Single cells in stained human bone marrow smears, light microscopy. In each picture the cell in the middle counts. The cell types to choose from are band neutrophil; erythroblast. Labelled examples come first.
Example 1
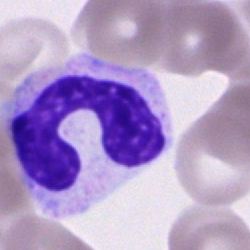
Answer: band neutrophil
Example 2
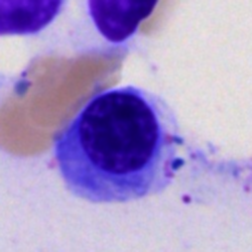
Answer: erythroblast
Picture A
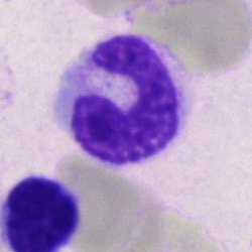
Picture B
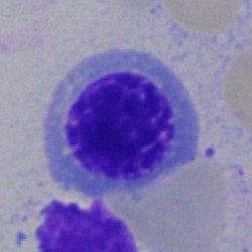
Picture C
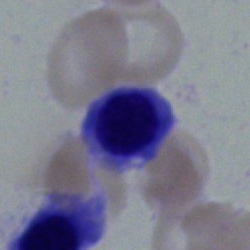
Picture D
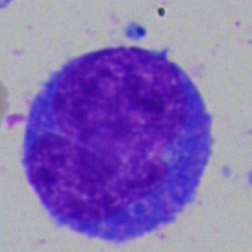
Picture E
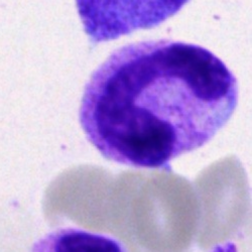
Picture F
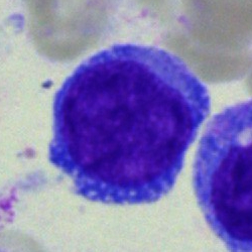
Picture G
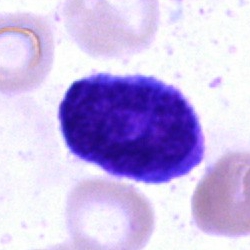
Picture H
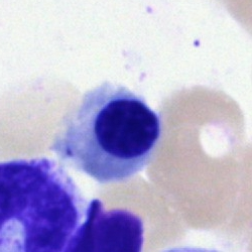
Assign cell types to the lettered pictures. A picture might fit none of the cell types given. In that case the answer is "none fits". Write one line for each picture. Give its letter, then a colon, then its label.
A: band neutrophil
B: erythroblast
C: erythroblast
D: none fits
E: band neutrophil
F: none fits
G: none fits
H: erythroblast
